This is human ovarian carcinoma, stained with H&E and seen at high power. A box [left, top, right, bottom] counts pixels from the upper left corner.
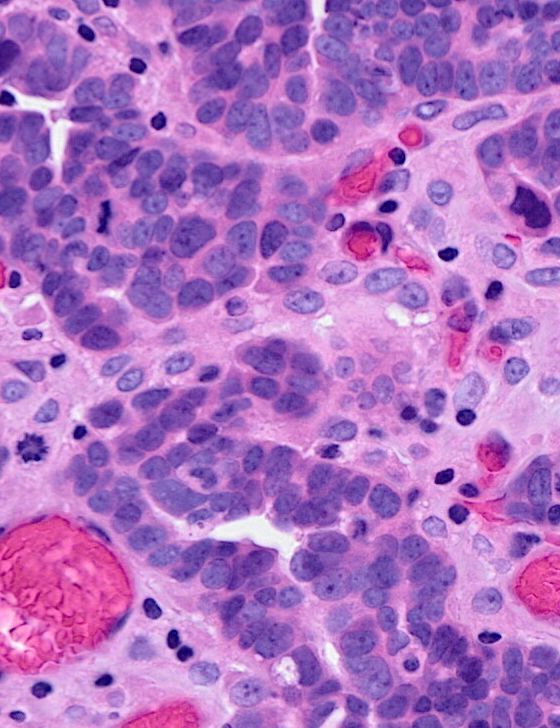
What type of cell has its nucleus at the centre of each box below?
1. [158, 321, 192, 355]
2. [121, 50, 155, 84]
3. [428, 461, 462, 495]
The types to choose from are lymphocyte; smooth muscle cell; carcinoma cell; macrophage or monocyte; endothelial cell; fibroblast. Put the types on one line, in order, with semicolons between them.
fibroblast; lymphocyte; lymphocyte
